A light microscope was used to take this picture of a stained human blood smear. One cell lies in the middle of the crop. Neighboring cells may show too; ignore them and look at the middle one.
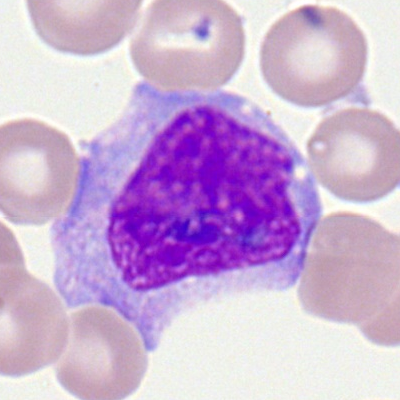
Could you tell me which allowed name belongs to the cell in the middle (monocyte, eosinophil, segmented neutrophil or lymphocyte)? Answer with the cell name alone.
monocyte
